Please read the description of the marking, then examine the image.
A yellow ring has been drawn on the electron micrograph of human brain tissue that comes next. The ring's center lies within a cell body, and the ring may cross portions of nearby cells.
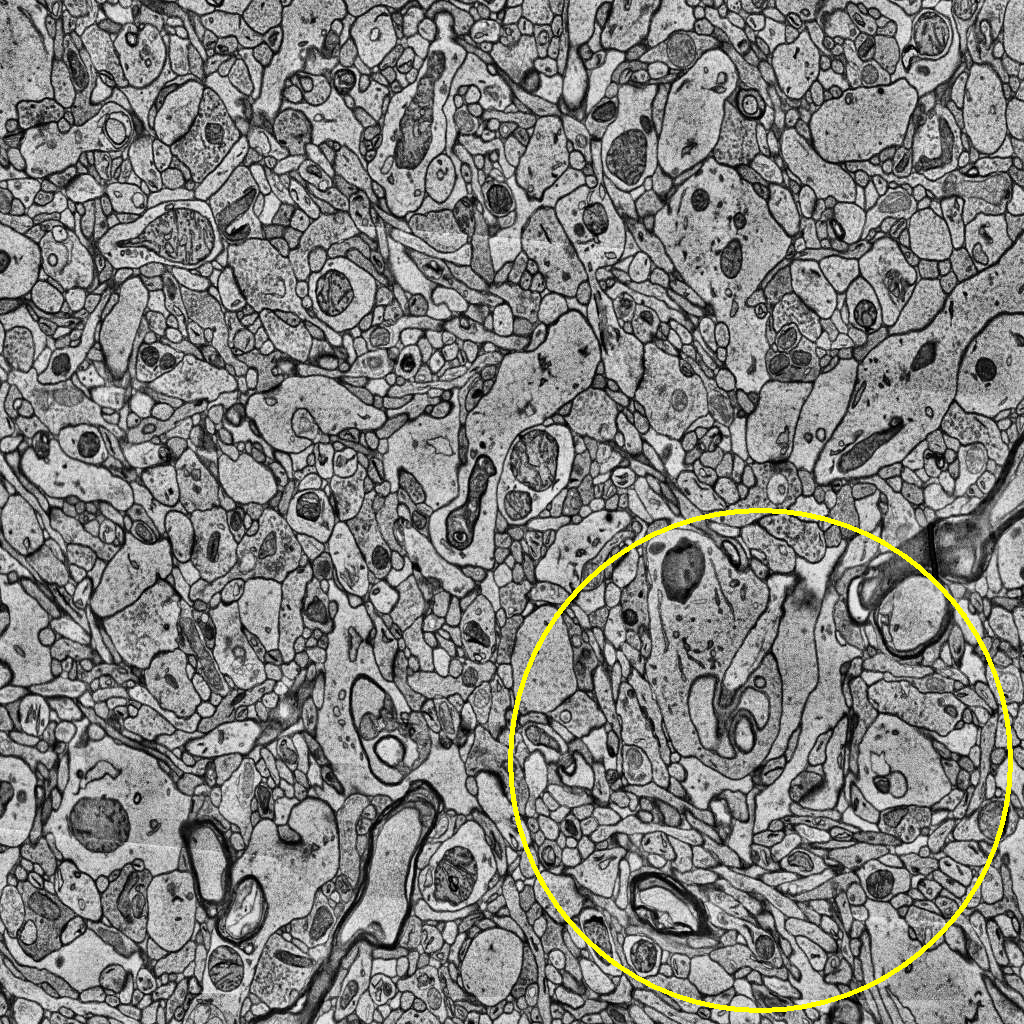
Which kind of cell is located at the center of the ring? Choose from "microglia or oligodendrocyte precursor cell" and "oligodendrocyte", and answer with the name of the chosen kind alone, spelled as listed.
microglia or oligodendrocyte precursor cell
